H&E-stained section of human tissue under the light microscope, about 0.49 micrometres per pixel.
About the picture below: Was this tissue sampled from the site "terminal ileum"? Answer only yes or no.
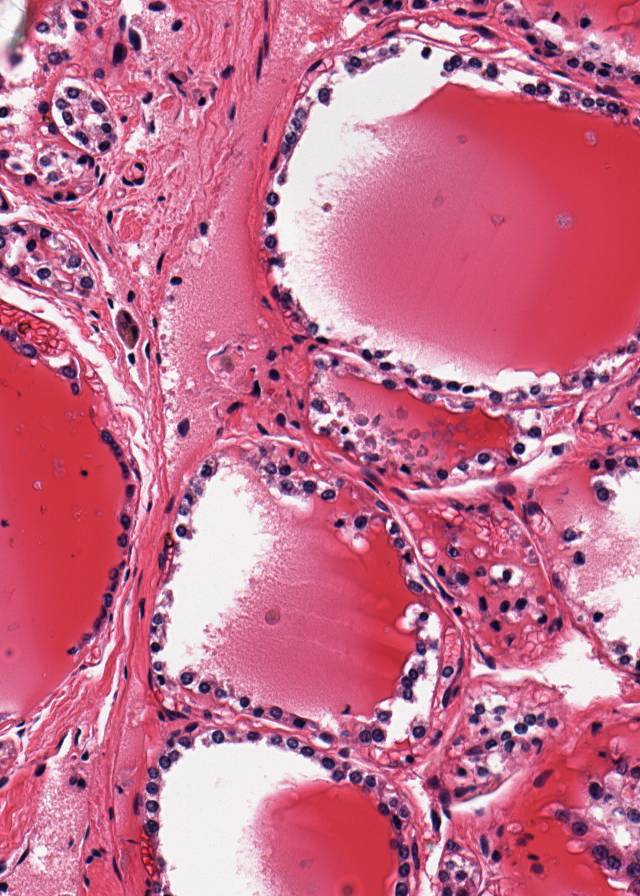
no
